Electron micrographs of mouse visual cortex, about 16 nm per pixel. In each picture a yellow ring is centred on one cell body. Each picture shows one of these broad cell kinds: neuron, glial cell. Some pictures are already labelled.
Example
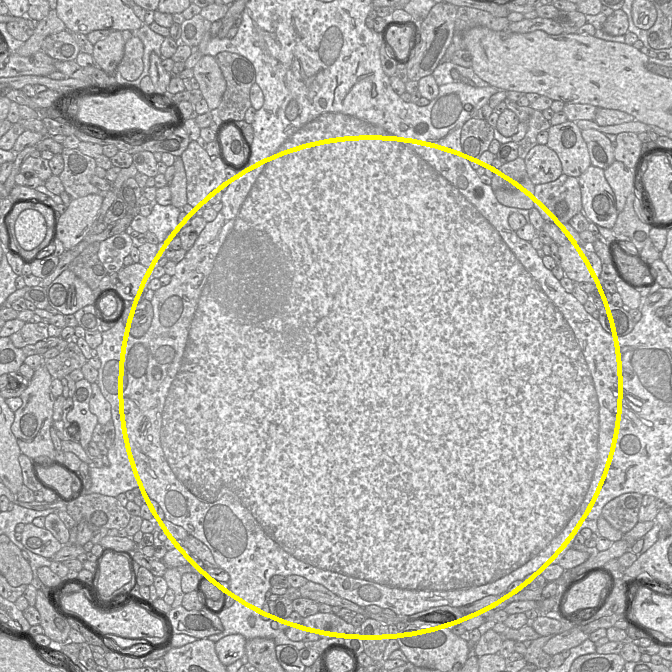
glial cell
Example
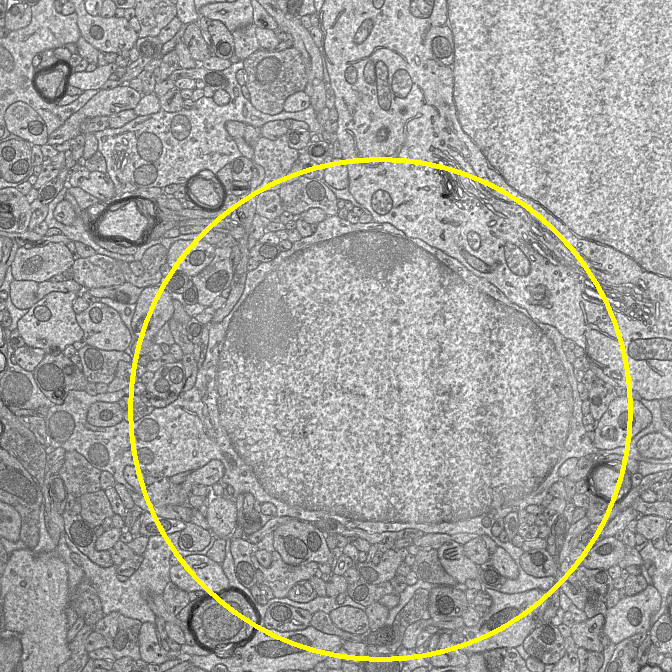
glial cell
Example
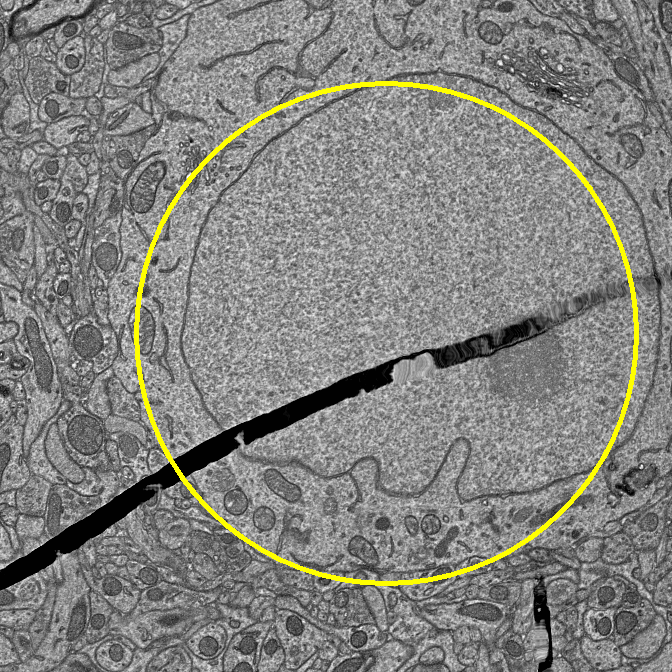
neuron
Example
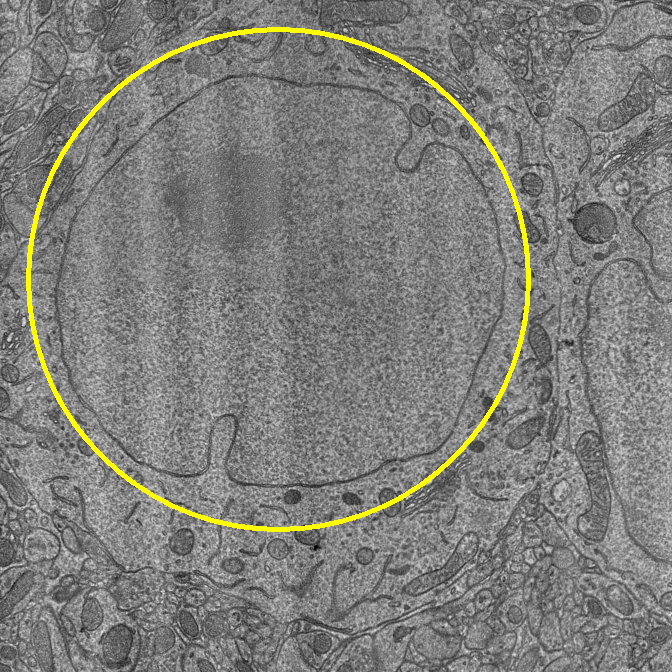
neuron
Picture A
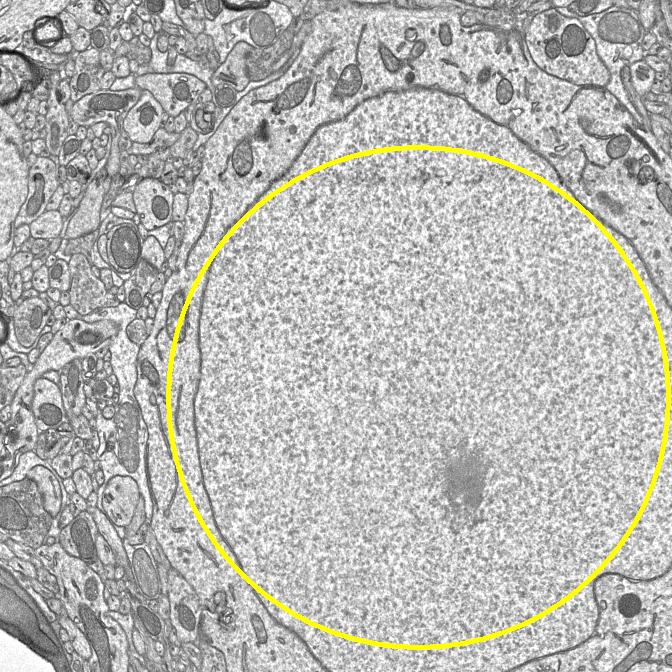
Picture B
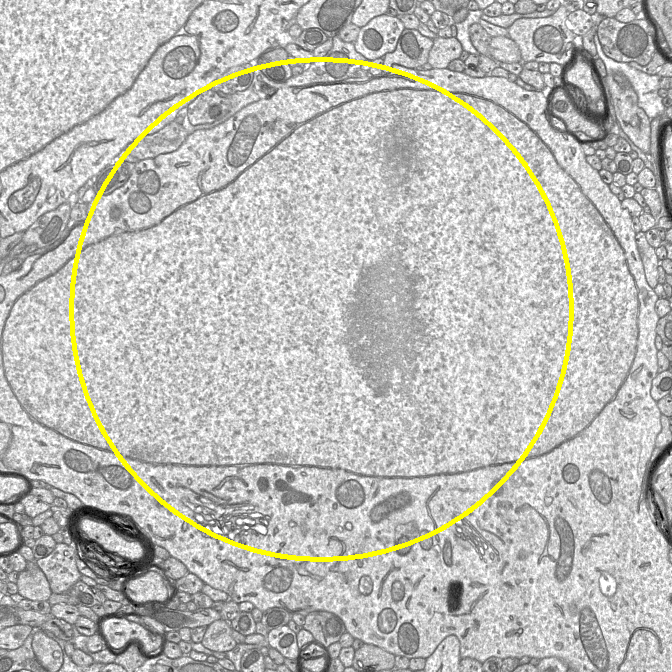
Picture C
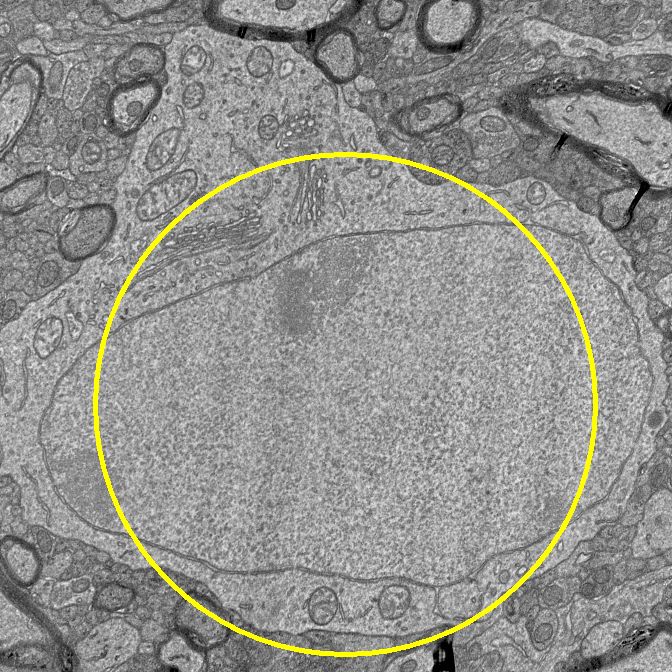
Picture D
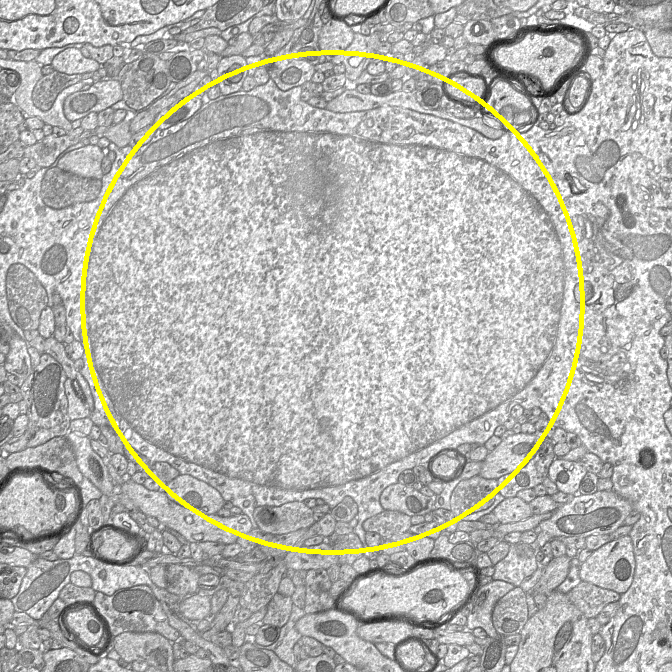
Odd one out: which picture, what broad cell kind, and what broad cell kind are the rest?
D differs and shows glial cell; the others show neuron.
